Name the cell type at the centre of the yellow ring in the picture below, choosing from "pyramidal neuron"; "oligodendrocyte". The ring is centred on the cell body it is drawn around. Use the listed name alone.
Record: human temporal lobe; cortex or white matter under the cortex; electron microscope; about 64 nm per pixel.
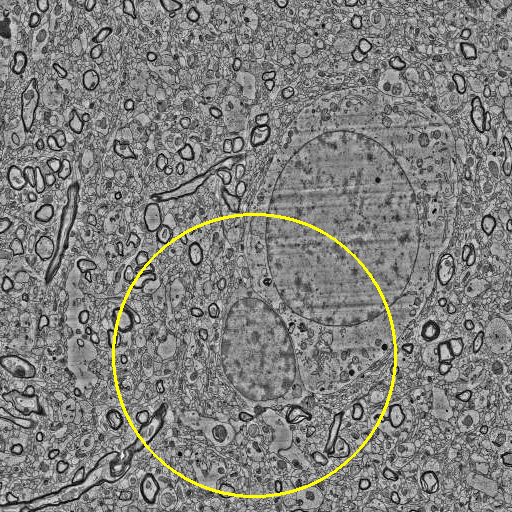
oligodendrocyte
